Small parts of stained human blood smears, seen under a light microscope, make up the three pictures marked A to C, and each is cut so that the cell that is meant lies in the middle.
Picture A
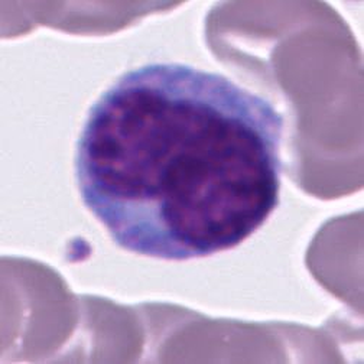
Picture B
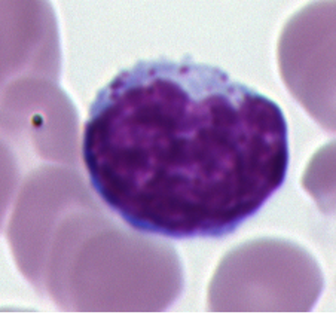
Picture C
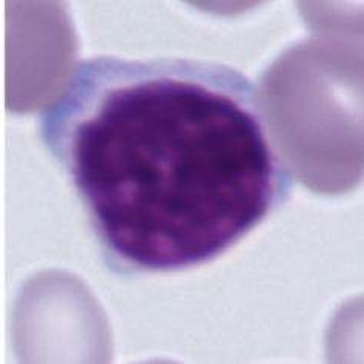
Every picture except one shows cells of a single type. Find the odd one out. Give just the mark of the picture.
A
